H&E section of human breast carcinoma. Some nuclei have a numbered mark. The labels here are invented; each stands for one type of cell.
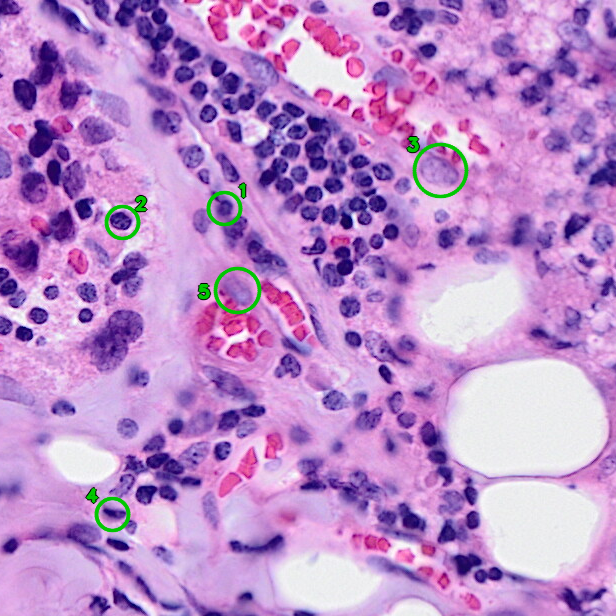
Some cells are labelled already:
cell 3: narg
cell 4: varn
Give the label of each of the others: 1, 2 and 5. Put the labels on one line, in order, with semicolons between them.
varn; varn; narg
